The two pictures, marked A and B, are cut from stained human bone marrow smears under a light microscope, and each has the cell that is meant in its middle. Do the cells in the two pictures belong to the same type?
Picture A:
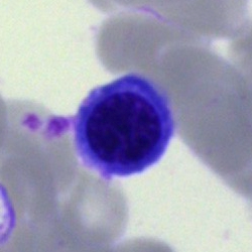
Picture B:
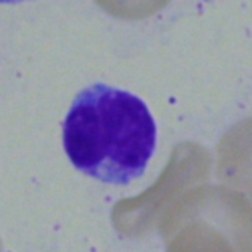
no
